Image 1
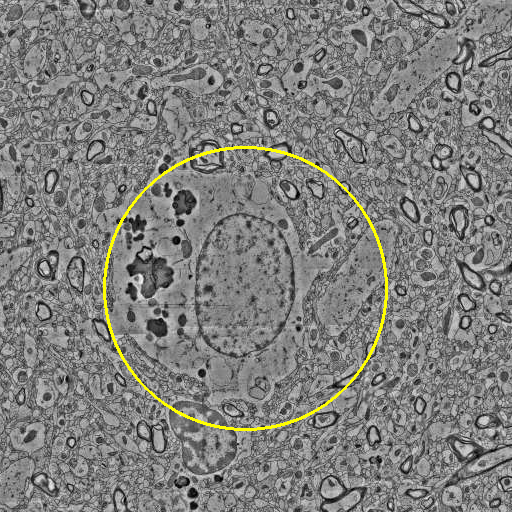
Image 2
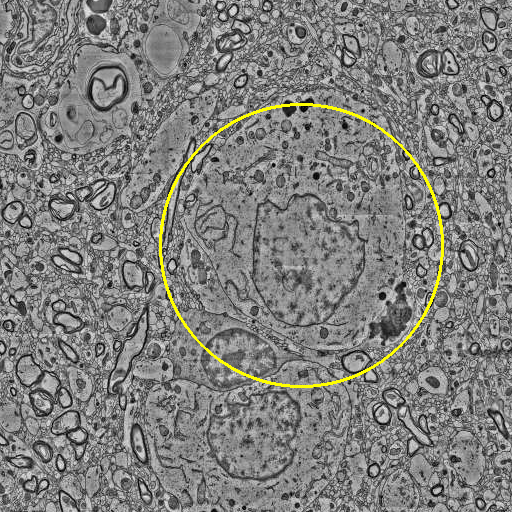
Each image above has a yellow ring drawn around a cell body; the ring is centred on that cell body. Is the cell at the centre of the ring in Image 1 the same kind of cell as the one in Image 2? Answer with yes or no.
no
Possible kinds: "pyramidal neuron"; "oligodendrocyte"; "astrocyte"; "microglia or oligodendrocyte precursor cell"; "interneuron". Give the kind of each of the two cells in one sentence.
The cell in the second picture is a pyramidal neuron, and that in the first is an astrocyte.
